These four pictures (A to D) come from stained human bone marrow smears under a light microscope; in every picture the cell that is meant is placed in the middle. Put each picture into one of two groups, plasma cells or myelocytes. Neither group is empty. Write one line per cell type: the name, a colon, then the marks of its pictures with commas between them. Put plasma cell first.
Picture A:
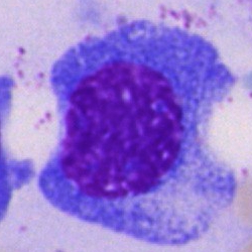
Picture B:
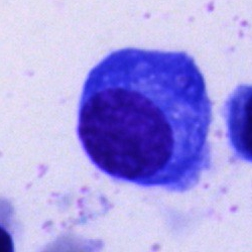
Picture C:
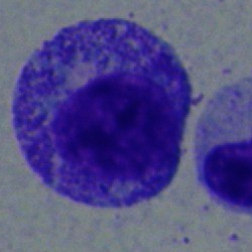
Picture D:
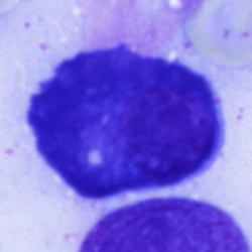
plasma cell: A, B, D
myelocyte: C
